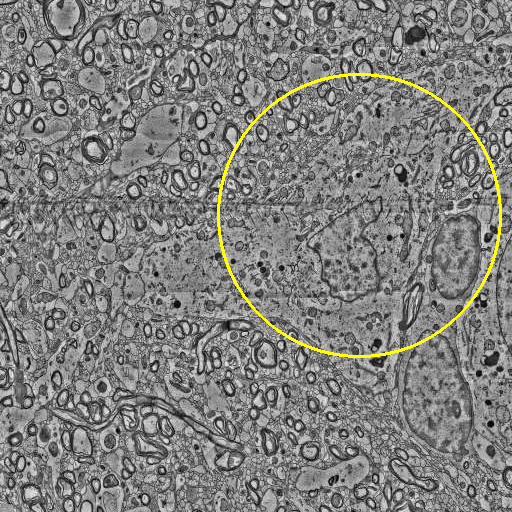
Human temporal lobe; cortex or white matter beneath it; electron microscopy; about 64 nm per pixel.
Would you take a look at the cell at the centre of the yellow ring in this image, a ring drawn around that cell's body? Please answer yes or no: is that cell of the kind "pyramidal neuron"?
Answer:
yes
